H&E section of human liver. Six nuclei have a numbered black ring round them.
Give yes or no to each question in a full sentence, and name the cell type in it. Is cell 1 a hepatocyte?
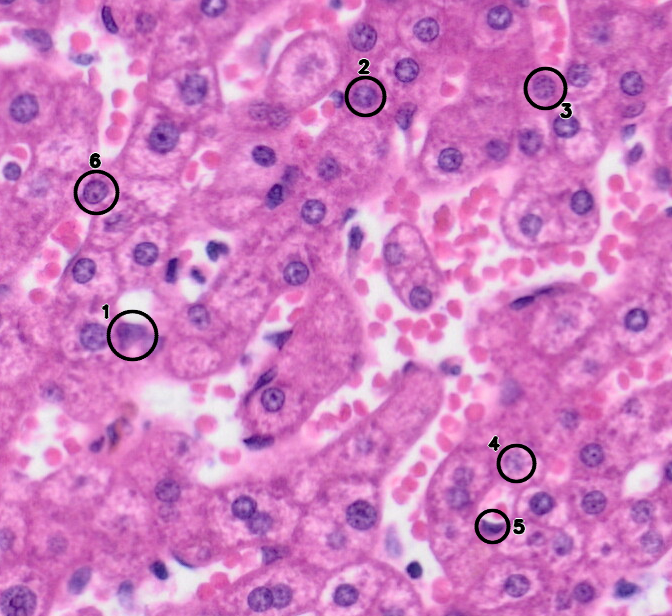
No, cell 1, which is an endothelial cell, is not a hepatocyte.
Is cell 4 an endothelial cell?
No, with respect, cell 4 is a hepatocyte rather than an endothelial cell.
